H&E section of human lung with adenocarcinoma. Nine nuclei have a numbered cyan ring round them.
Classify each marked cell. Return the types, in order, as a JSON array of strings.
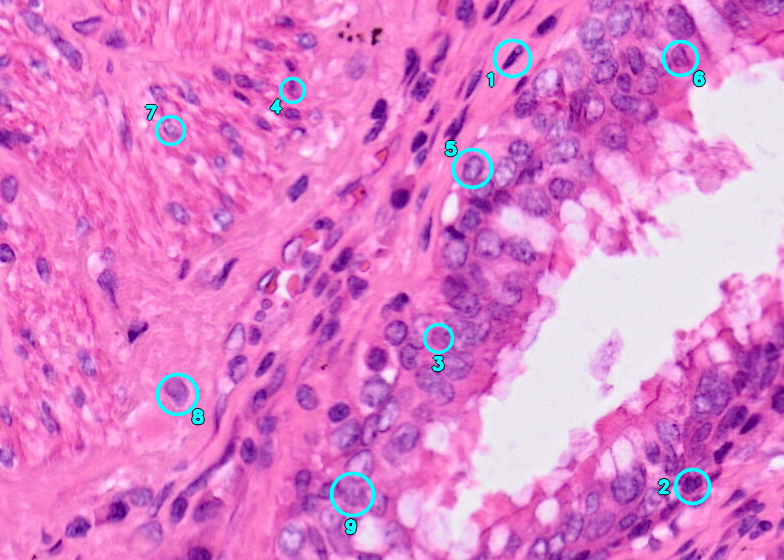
["mast cell", "ciliated epithelial cell", "ciliated epithelial cell", "smooth muscle cell or pericyte", "ciliated epithelial cell", "ciliated epithelial cell", "smooth muscle cell or pericyte", "fibroblast", "ciliated epithelial cell"]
